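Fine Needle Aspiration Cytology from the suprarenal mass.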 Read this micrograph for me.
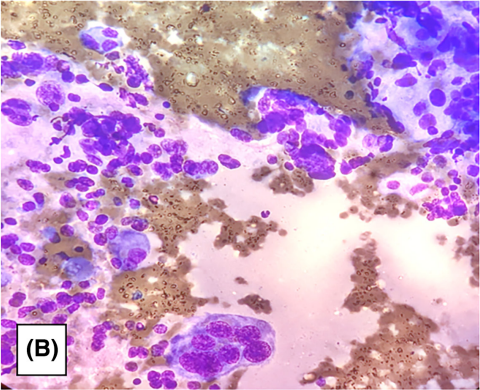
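The tumour cells are small to medium sized with round to oval purple nuclei and scant pale blue cytoplasm. Some clusters are crowded, with nuclei overlapping one another, while a few larger cells carry more abundant pale blue cytoplasm. The background is filled with brownish red blood cells.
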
